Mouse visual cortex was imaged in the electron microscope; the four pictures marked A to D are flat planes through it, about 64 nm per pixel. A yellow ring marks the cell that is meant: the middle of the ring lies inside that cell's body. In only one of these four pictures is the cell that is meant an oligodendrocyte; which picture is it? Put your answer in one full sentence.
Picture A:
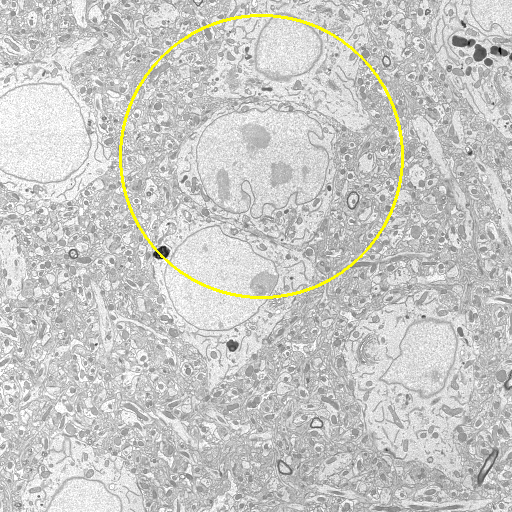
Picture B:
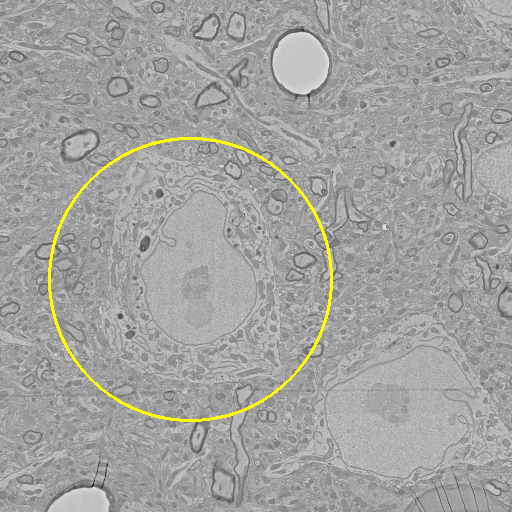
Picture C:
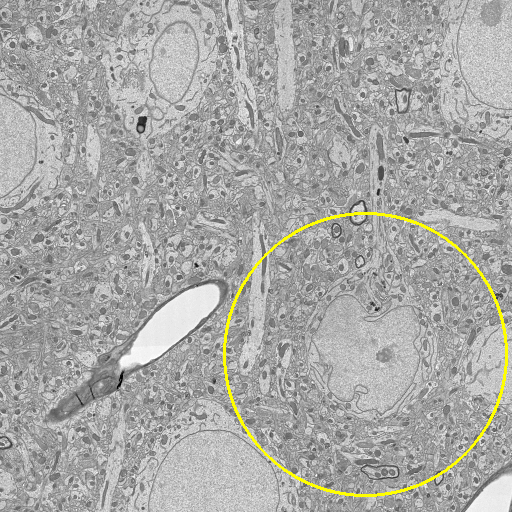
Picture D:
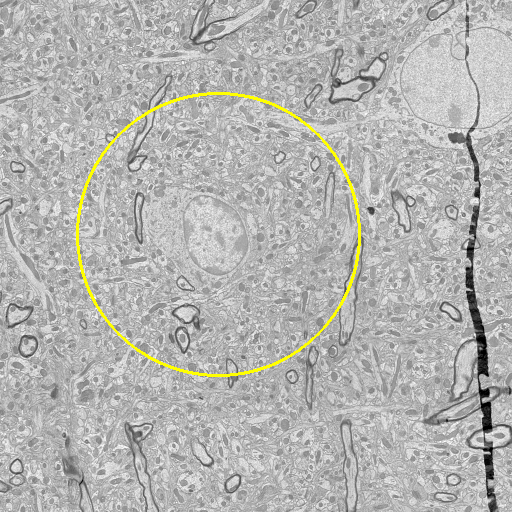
It is picture D that shows the oligodendrocyte.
